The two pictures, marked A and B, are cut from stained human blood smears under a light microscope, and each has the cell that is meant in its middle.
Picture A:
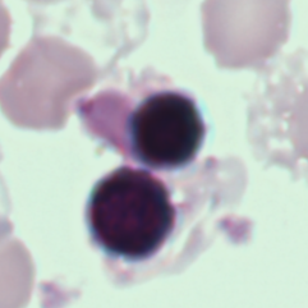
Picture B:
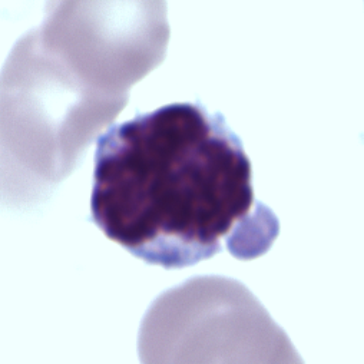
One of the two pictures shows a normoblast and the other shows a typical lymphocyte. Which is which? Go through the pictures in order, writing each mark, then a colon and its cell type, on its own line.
A: normoblast
B: typical lymphocyte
